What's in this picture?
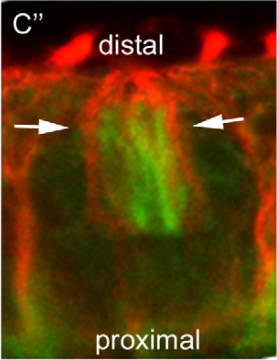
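Green strands run lengthwise in the centre of the cluster, flanked on either side by fibrous red bundles that follow them from the distal surface downward. Fainter red fibres outline the neighbouring cell borders.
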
